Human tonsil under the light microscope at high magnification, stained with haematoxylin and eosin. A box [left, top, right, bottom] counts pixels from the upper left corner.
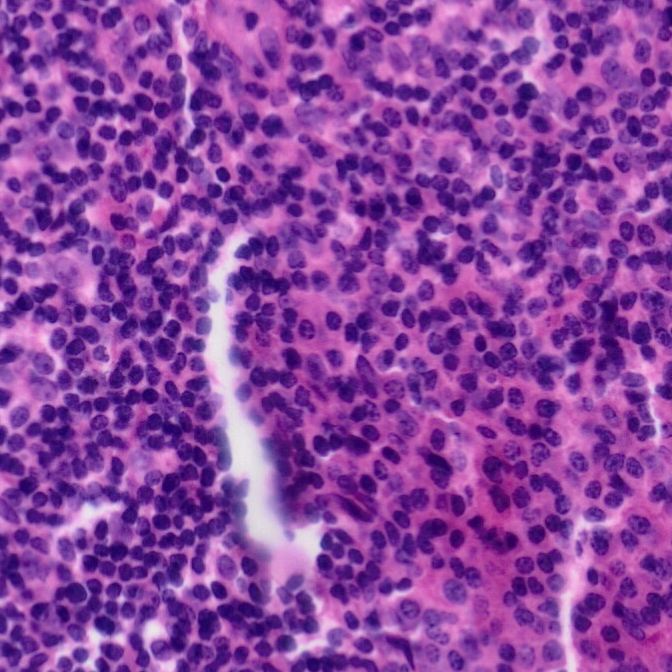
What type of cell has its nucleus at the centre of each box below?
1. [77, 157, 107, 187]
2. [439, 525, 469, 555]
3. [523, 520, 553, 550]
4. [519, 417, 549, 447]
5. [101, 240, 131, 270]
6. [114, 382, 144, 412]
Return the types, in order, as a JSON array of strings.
["small lymphocyte", "plasma cell", "plasma cell", "plasma cell", "small lymphocyte", "small lymphocyte"]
